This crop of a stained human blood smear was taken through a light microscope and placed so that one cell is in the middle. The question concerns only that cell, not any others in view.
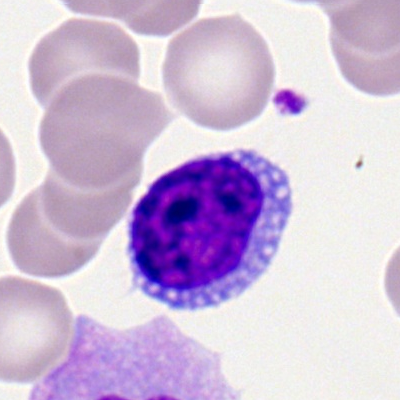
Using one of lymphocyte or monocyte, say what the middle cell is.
lymphocyte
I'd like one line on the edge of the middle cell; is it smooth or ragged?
The outer contour of the cell is irregular, with ragged portions or projections along it.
